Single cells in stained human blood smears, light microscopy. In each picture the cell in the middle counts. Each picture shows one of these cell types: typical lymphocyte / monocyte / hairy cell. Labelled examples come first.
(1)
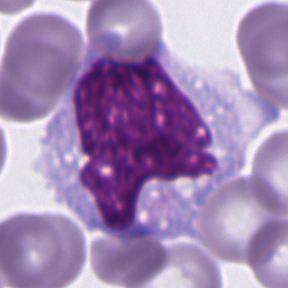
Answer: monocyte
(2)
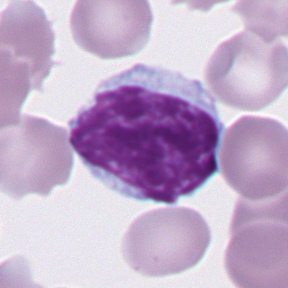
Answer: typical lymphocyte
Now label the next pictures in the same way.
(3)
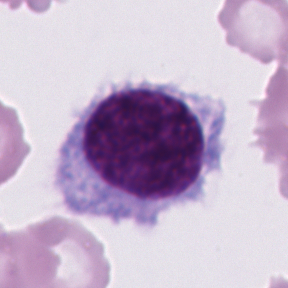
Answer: hairy cell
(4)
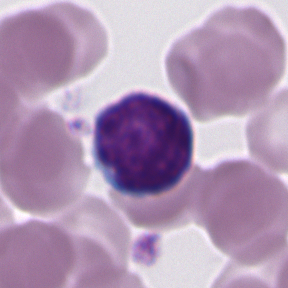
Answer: typical lymphocyte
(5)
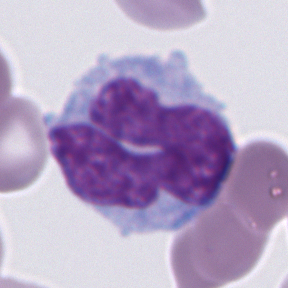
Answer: monocyte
